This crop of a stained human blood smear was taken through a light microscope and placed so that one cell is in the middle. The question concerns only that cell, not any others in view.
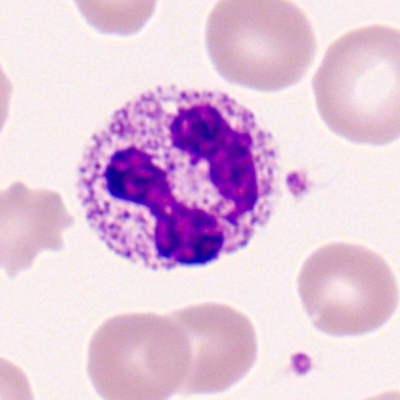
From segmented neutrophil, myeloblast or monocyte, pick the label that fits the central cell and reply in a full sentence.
The cell nearest the centre of this crop is a segmented neutrophil.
